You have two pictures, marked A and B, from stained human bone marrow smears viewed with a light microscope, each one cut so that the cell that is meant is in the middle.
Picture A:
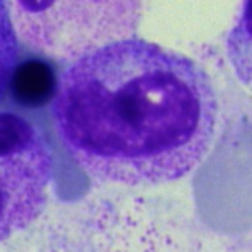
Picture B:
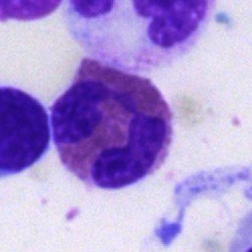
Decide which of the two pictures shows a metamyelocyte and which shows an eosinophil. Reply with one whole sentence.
Picture A shows a metamyelocyte and picture B shows an eosinophil.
